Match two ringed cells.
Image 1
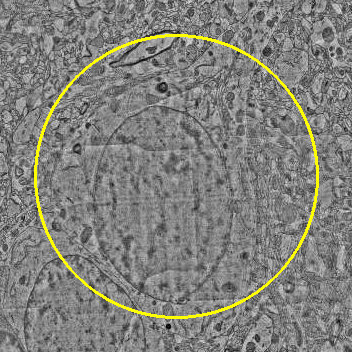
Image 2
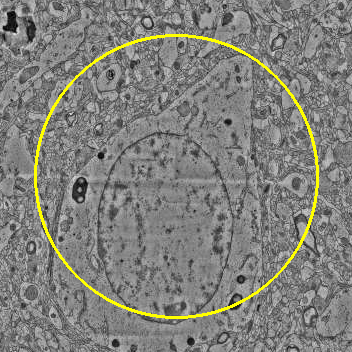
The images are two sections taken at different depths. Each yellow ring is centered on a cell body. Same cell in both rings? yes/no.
no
